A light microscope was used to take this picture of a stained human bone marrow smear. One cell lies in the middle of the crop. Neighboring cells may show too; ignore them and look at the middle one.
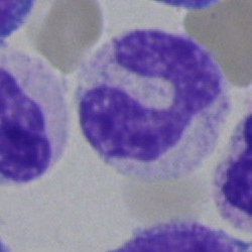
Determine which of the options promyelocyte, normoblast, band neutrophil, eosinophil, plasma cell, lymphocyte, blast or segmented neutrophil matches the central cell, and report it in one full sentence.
By classification, the middle cell of this crop is a band neutrophil.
